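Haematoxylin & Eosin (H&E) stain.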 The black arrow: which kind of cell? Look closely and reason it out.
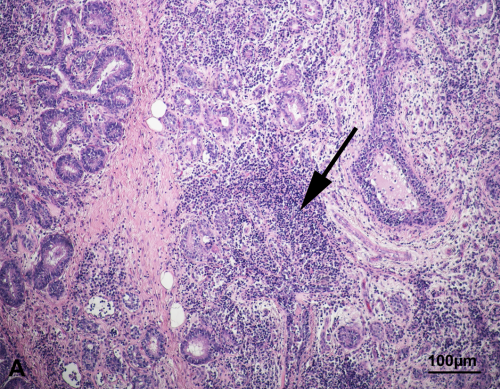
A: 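Dense sheet of small round dark-nucleated cells between the glandular structures. The cells lie in the stroma around alveoli and ducts. That points to this answer: mononuclear inflammatory cells.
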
